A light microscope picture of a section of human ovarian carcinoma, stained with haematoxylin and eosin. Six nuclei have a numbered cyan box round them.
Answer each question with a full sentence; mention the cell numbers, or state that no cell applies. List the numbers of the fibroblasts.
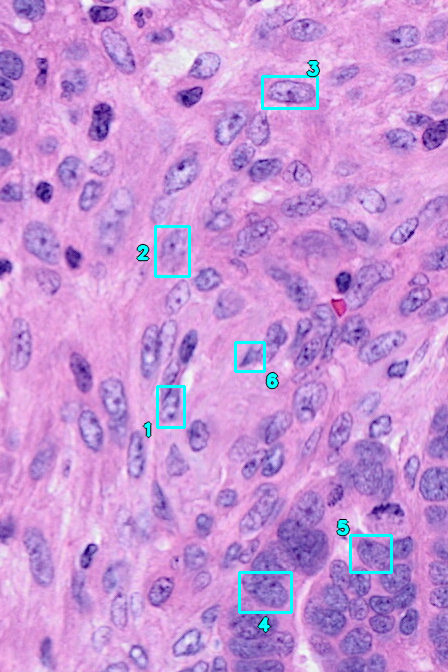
Into the category of fibroblasts fall the cells numbered 1, 2, 3 and 6.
